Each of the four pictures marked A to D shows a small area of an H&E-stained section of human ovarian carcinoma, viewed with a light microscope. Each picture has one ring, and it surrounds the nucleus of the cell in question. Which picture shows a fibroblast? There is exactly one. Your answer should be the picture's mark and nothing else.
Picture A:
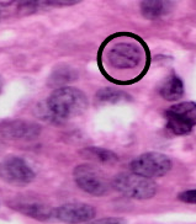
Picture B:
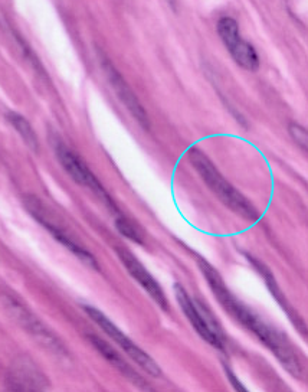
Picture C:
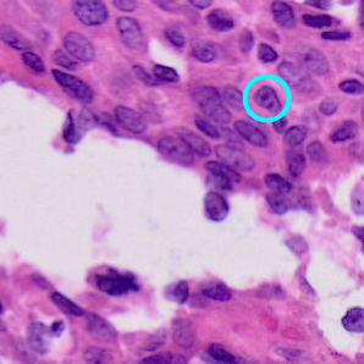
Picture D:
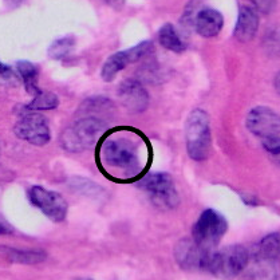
B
